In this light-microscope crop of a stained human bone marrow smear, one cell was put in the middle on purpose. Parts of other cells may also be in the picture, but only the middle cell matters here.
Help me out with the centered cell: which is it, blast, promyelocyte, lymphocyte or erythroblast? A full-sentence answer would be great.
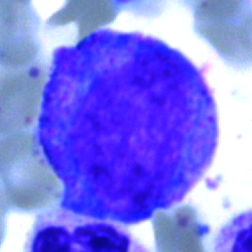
On this slide crop, the central cell is a promyelocyte.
